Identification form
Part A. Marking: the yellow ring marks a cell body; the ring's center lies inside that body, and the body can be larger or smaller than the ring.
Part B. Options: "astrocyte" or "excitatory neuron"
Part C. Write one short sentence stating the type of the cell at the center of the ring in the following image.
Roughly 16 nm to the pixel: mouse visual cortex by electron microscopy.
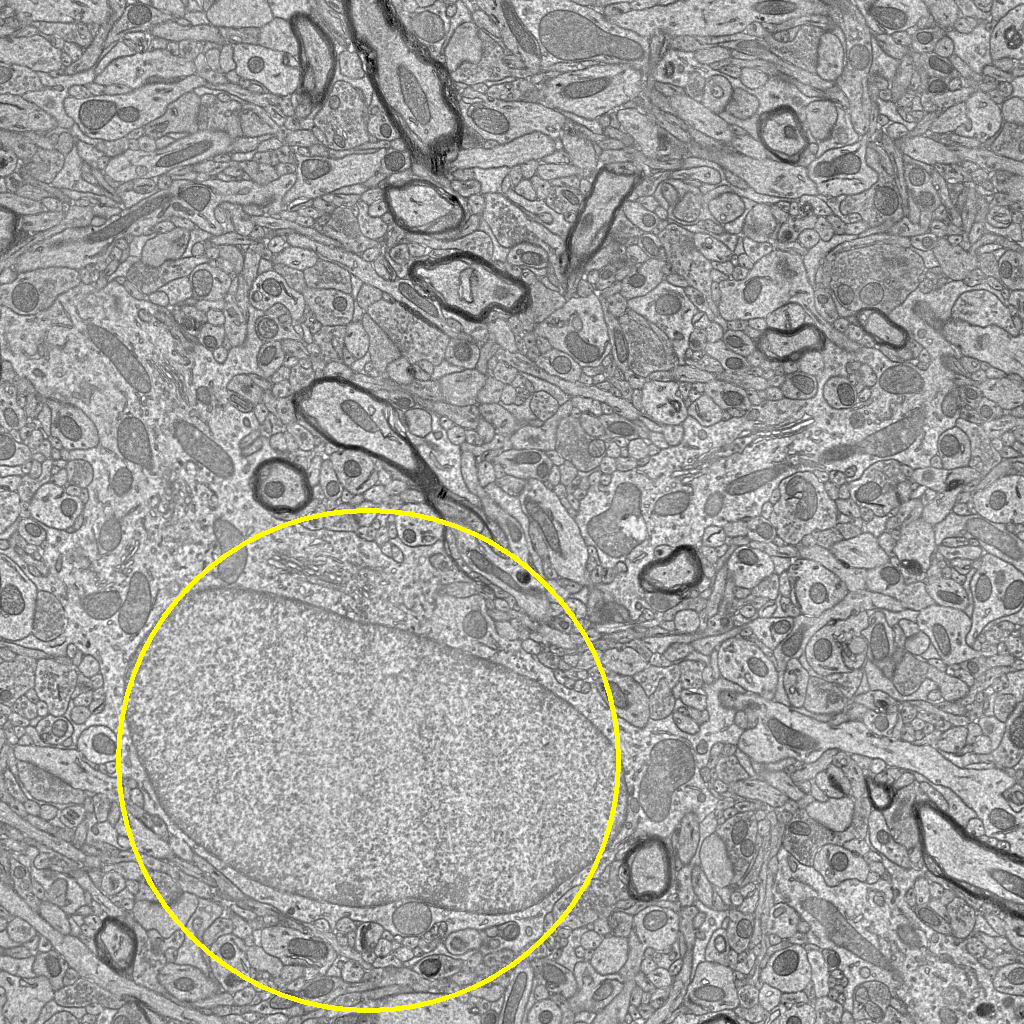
The center of the ring holds an astrocyte.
